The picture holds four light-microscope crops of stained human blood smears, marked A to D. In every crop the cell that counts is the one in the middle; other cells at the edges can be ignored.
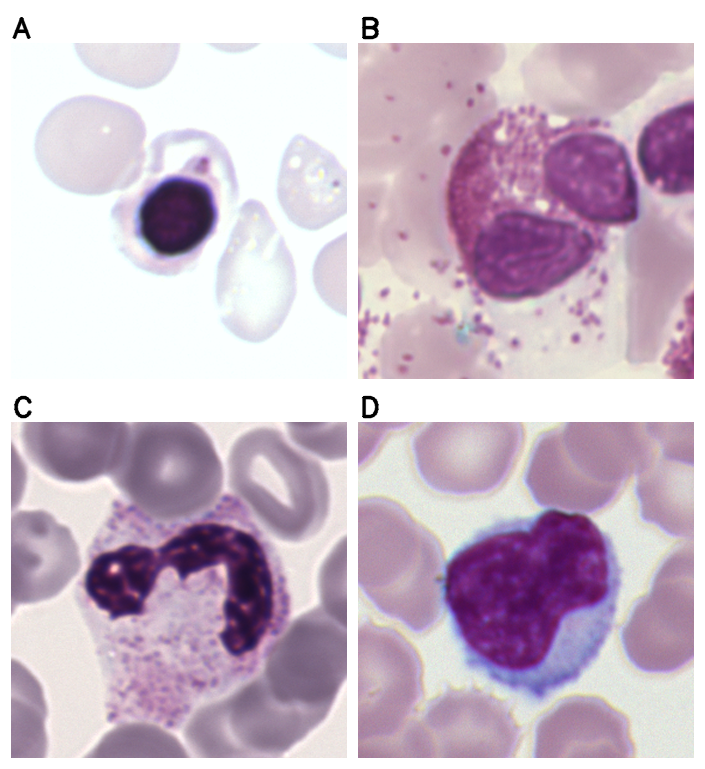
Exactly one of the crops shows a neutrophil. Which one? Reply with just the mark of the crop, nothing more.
C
